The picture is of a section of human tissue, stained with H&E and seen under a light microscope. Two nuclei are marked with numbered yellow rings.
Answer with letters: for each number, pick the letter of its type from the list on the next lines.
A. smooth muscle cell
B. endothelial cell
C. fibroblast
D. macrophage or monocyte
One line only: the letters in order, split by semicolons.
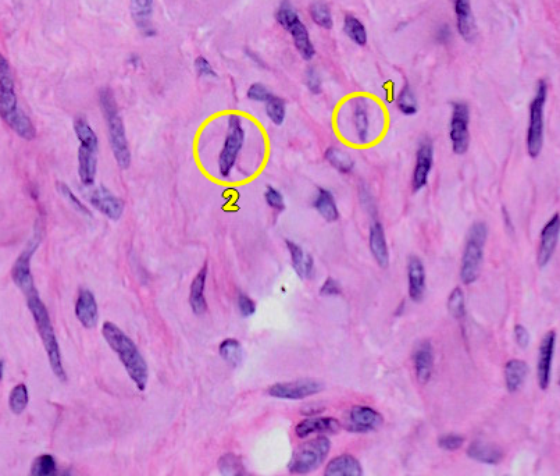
A; C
